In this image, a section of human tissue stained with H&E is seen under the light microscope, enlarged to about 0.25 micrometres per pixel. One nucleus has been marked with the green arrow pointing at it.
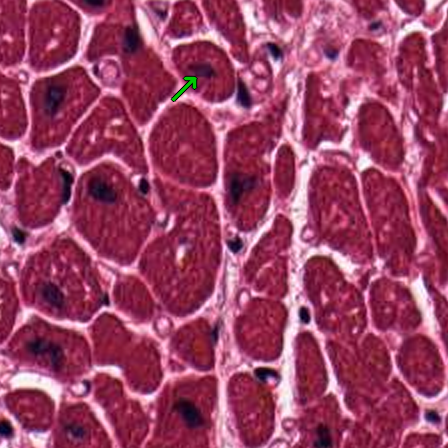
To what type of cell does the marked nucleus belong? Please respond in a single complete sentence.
The marked nucleus, in this picture, belongs to a cardiomyocyte.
